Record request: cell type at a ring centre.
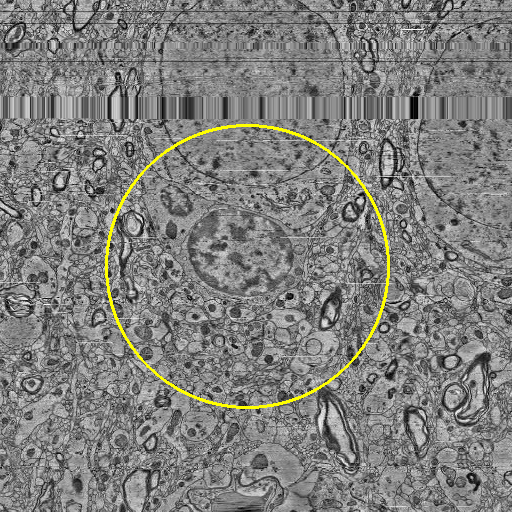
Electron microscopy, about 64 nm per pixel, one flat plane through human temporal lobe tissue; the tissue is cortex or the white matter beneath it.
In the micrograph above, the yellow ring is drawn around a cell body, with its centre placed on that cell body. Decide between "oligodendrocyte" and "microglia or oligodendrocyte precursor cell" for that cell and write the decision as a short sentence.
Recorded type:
The cell centred in the yellow ring is an oligodendrocyte.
